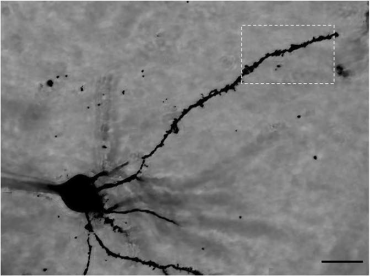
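One long dendrite runs from the cell body toward the upper right, and along its distal part small dark spines project from the shaft. A dashed box marks a spine-bearing segment of this dendrite.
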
